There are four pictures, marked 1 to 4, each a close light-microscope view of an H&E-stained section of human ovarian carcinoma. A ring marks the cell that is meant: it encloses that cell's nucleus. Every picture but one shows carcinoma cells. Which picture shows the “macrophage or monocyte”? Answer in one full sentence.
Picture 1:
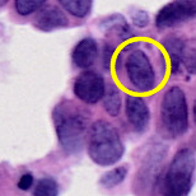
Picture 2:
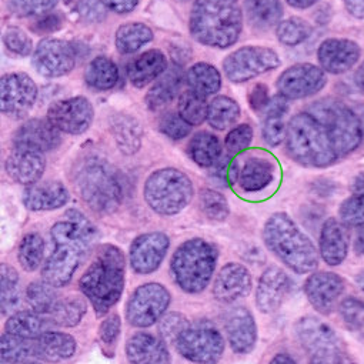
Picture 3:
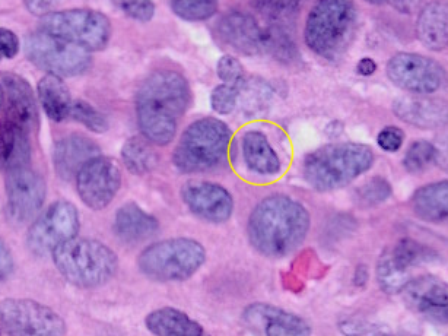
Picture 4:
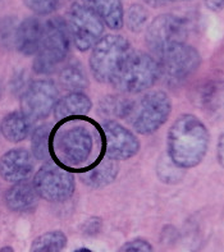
It is picture 3 that shows the “macrophage or monocyte”.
